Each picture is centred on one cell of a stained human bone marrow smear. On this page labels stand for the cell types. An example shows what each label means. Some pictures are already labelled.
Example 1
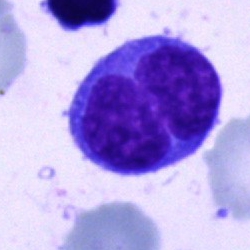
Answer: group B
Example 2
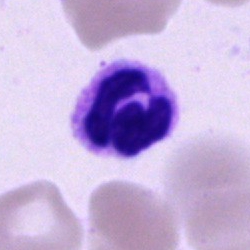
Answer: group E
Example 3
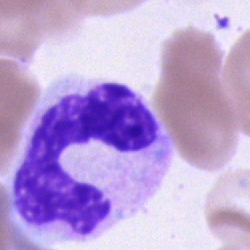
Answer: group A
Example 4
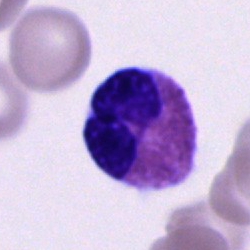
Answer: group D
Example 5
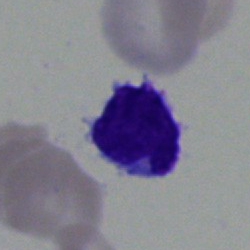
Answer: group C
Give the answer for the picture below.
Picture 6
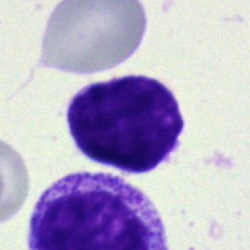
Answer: group C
